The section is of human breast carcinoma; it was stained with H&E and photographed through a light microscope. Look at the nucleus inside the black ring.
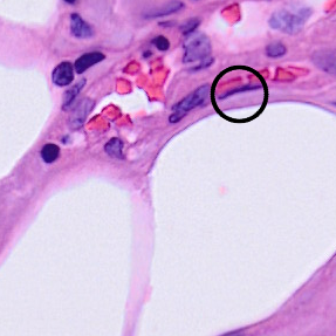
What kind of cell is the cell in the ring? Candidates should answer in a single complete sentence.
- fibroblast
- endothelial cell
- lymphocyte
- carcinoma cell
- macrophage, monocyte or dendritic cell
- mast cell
Microscopically, the cell in the ring is categorized as an endothelial cell.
